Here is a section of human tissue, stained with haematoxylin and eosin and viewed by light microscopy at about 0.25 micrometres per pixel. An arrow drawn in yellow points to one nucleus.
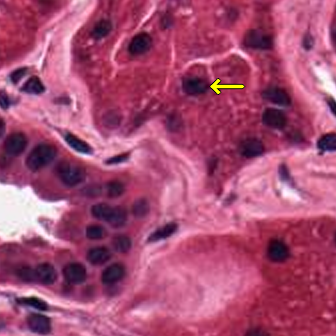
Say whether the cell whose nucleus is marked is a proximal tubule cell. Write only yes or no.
yes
